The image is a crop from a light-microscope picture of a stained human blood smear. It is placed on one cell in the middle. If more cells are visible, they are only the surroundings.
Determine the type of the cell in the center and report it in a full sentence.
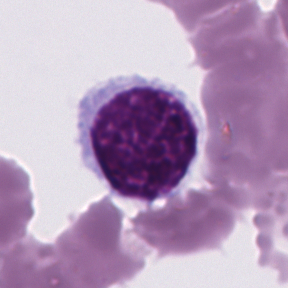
The central cell in this smear crop is a hairy cell.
